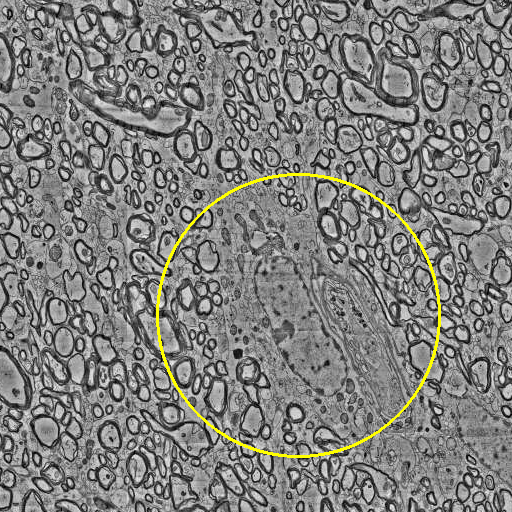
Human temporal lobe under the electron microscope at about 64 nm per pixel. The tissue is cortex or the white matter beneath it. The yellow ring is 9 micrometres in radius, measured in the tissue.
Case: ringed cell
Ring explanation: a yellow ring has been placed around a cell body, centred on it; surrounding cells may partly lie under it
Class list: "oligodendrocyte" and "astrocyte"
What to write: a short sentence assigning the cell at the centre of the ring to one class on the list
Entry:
The cell at the ring's centre is an astrocyte.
